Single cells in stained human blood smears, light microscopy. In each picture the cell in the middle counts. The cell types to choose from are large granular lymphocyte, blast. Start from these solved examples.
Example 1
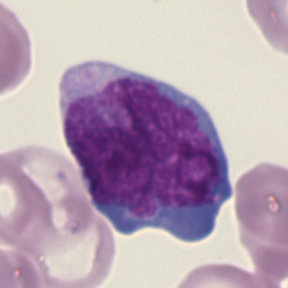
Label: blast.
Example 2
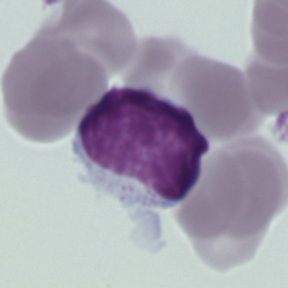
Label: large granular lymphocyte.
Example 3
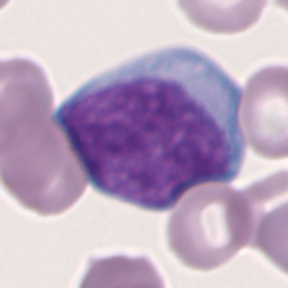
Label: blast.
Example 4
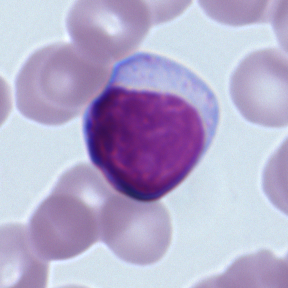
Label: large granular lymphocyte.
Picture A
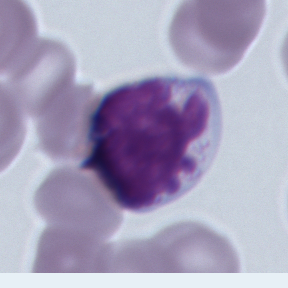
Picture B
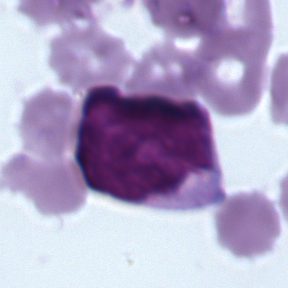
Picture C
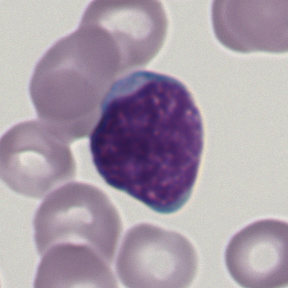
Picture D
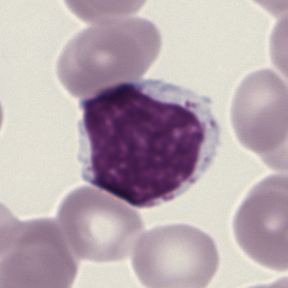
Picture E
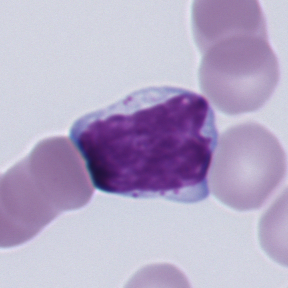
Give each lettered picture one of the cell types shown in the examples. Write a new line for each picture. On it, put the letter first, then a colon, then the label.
A: large granular lymphocyte.
B: blast.
C: blast.
D: large granular lymphocyte.
E: large granular lymphocyte.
